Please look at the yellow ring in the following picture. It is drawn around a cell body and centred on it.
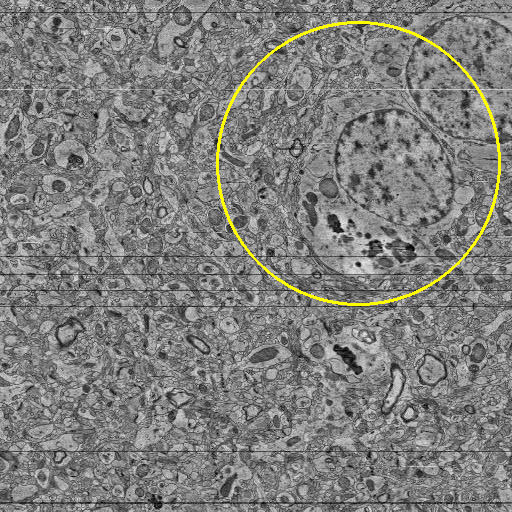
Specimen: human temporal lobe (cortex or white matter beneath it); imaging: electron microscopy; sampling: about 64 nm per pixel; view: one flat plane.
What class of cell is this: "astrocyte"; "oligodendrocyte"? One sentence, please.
The ring surrounds the cell body of an astrocyte.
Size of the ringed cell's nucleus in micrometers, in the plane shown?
About 8 by 7 micrometers for the nucleus, in this plane.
